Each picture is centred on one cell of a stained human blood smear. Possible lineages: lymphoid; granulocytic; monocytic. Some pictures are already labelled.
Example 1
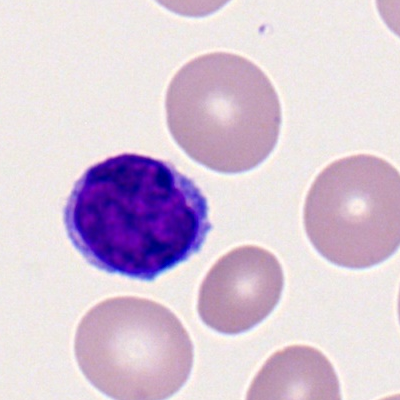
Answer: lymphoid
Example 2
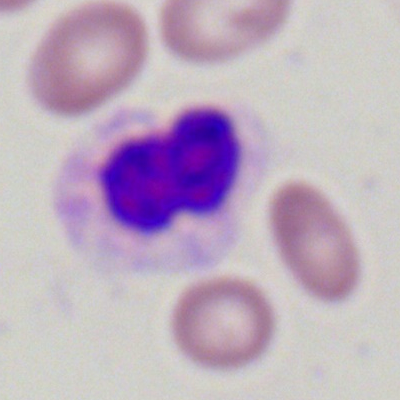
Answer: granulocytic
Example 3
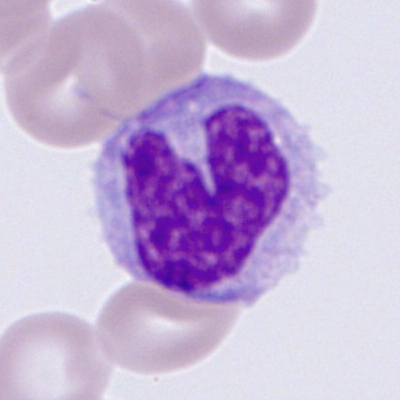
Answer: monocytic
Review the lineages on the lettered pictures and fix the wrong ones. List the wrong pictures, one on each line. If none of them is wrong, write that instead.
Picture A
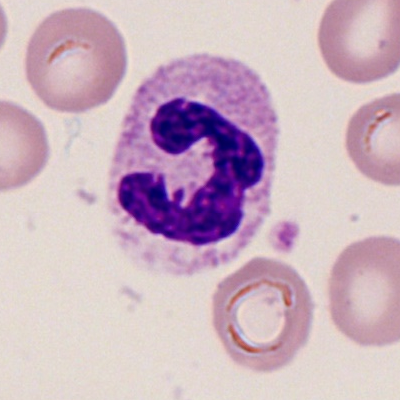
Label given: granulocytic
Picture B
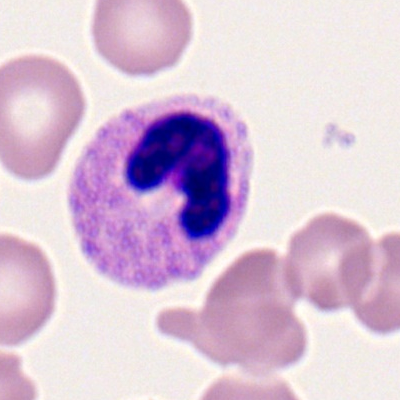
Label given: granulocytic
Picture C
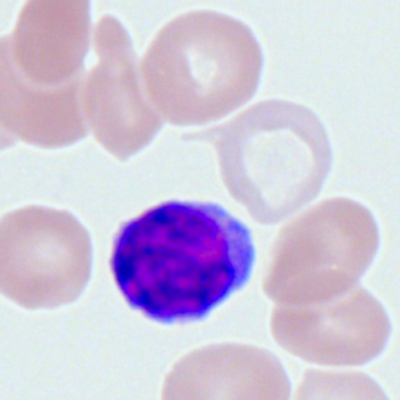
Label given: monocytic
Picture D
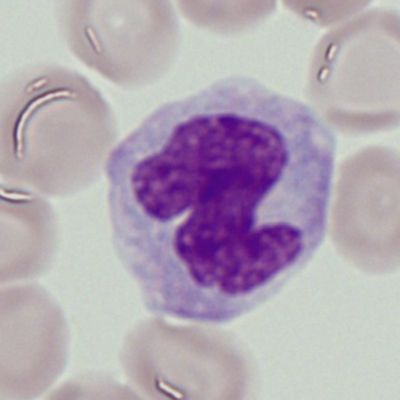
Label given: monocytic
Wrong: C (monocytic); correct: lymphoid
